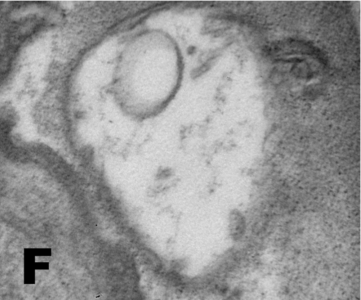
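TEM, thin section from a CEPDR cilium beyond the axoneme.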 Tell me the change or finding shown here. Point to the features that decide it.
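A large pale membrane-bound profile fills much of the panel. A smaller round vesicle lies inside the pale profile. No microtubule arrays are visible inside the profile. On this evidence: large vacuole-filled swelling.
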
